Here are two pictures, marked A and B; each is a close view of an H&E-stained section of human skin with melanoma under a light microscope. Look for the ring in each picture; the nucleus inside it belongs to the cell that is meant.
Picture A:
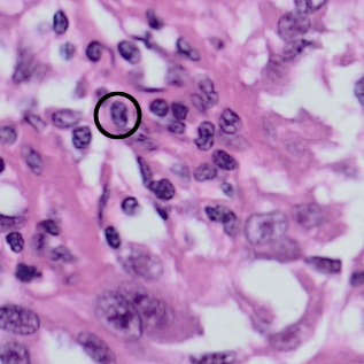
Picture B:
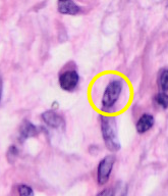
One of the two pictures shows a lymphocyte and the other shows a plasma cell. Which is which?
A: lymphocyte
B: plasma cell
